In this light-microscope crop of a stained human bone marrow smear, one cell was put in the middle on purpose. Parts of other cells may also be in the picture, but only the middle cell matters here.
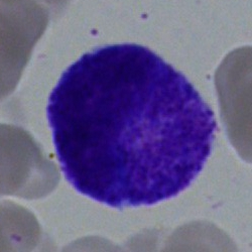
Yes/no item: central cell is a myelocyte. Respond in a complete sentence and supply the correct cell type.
No, the central cell is a promyelocyte, not a myelocyte.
